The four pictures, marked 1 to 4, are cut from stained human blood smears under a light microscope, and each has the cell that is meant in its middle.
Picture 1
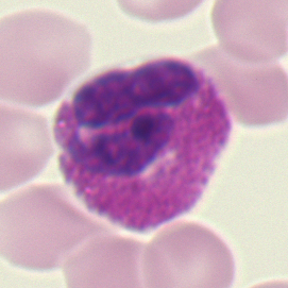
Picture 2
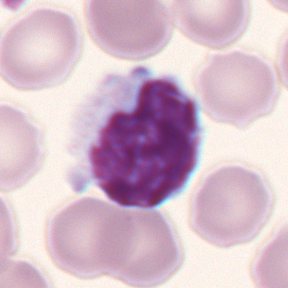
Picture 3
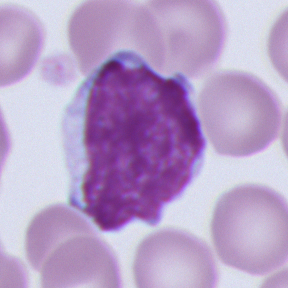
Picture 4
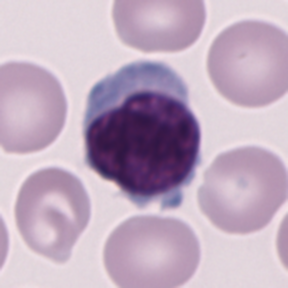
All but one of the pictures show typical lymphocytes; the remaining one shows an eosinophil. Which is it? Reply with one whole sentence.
The cell in picture 1 is the eosinophil.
